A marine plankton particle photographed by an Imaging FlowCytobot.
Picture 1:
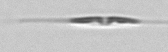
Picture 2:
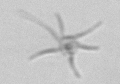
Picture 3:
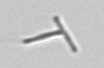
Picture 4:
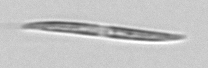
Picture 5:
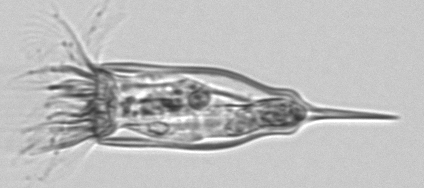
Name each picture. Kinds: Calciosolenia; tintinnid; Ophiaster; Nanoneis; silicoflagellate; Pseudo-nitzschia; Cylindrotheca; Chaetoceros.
1. Cylindrotheca
2. Ophiaster
3. Nanoneis
4. Pseudo-nitzschia
5. tintinnid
